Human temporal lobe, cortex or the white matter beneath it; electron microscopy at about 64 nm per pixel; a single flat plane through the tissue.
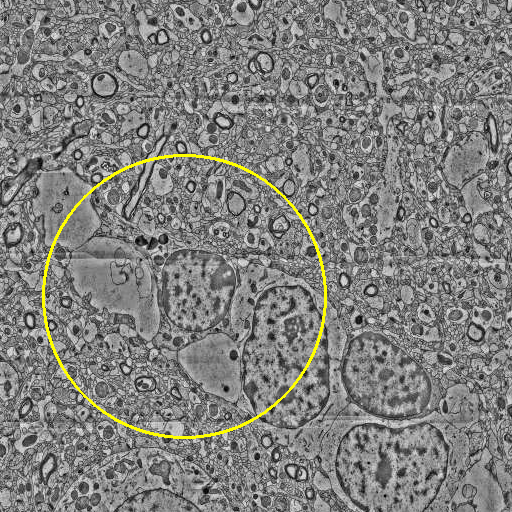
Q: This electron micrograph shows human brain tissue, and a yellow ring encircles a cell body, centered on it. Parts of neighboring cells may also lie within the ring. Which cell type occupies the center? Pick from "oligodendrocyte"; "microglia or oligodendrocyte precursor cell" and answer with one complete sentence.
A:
What sits at the ring's center in this micrograph is a microglial cell or oligodendrocyte precursor cell, among those choices.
